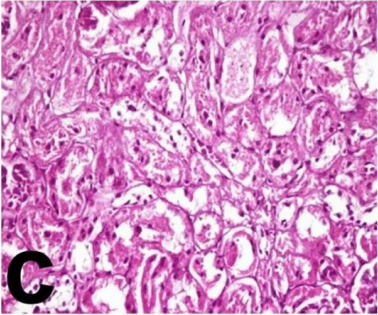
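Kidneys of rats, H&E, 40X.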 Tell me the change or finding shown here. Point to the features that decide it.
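Many tubular cells lack distinct nuclei. Tubule outlines are blurred, with debris in the lumens. So: extensive necrosis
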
